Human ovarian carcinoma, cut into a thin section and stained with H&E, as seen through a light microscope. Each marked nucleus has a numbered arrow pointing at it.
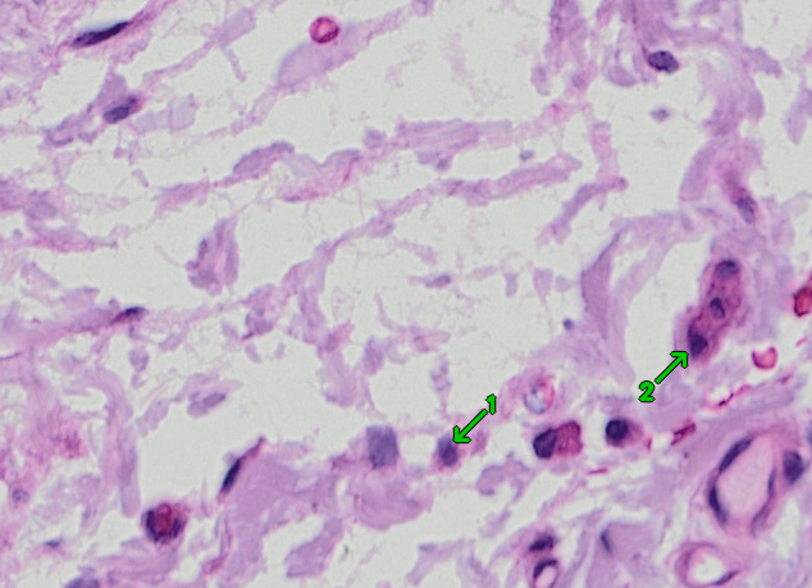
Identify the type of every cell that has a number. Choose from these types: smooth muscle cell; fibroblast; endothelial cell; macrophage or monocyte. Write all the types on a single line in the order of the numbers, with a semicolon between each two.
macrophage or monocyte; smooth muscle cell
